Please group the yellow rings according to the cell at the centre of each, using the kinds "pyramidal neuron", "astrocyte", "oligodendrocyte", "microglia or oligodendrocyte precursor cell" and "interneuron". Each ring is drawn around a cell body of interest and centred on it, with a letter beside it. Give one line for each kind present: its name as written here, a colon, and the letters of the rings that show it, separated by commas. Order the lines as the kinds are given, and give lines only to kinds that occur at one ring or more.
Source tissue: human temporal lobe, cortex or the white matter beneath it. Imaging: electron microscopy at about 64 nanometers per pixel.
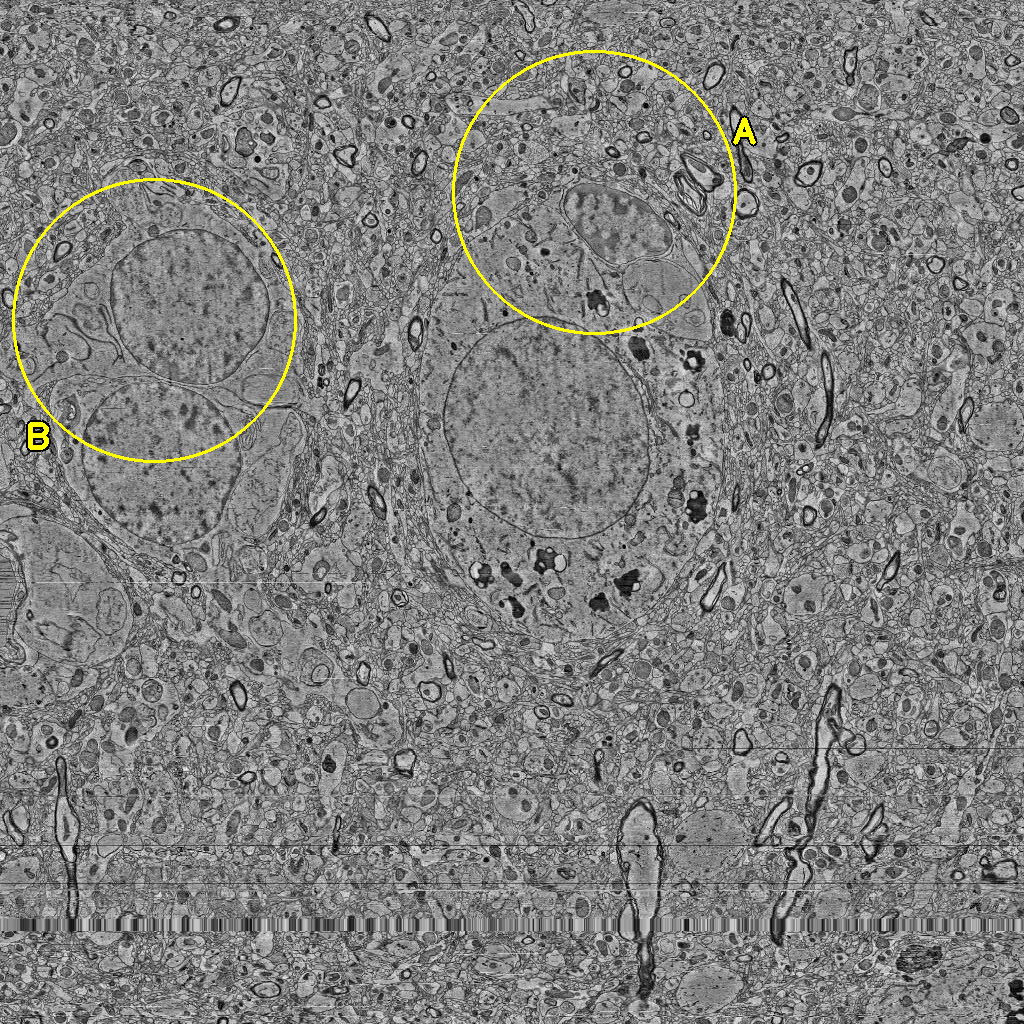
astrocyte: B
microglia or oligodendrocyte precursor cell: A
